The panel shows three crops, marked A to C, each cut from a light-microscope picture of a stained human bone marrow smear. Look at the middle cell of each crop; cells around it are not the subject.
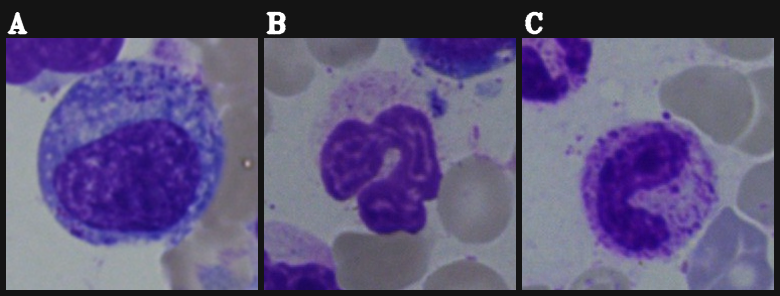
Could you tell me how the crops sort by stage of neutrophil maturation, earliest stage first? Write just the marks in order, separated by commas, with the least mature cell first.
A, C, B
